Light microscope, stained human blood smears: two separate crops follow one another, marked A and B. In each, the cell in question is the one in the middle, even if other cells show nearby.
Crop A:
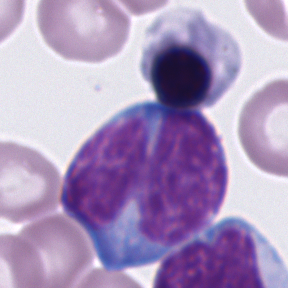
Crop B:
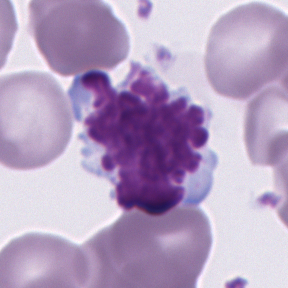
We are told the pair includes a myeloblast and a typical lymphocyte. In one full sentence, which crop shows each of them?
In this set, crop A is a myeloblast and crop B is a typical lymphocyte.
